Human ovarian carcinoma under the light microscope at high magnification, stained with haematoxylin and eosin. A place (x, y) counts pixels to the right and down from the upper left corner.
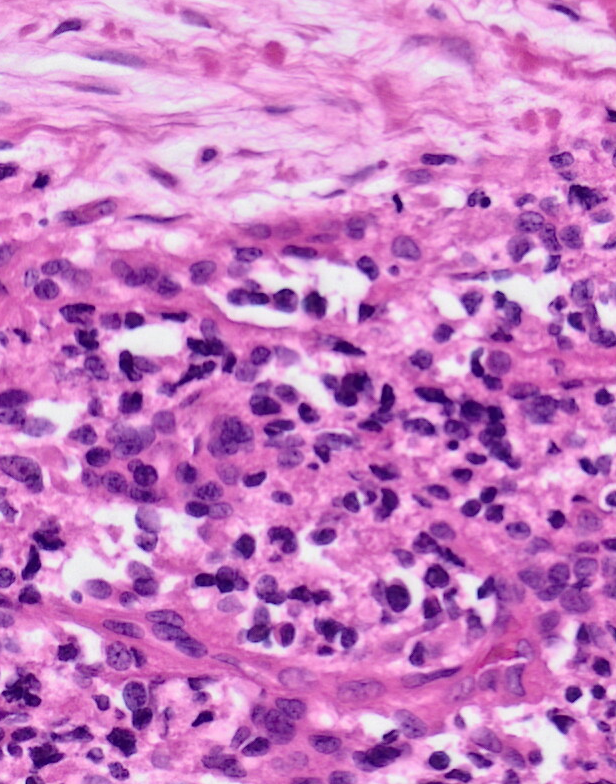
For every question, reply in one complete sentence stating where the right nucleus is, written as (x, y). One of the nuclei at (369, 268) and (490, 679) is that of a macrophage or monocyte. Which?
Between the two nuclei, the one sitting at (369, 268) belongs to a macrophage or monocyte.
